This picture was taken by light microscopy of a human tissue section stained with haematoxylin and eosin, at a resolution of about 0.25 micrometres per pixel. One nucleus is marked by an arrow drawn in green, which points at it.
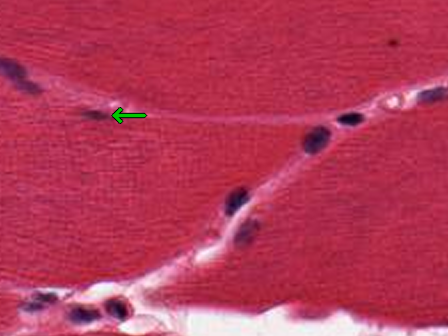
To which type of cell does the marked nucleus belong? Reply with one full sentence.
The cell that the marked nucleus belongs to is a skeletal muscle fibre.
